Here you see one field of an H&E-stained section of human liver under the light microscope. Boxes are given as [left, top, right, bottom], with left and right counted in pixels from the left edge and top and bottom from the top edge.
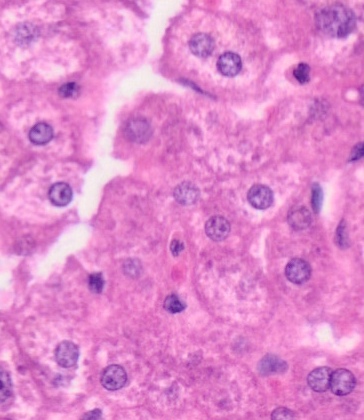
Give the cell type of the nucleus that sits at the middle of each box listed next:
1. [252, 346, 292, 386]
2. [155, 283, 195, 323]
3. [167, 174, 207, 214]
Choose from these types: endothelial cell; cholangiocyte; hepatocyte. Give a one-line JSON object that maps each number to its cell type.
{"1": "endothelial cell", "2": "endothelial cell", "3": "hepatocyte"}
